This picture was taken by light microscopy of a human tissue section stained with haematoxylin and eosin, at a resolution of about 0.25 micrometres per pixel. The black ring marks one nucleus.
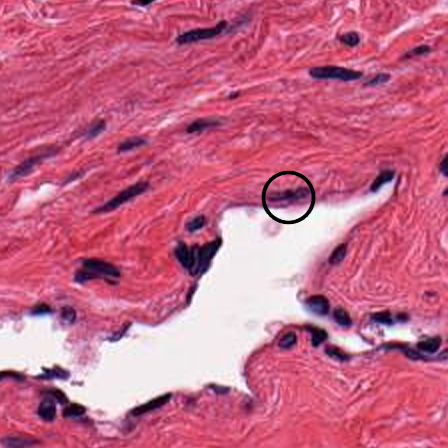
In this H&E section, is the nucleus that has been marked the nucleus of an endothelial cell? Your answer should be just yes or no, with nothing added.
yes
